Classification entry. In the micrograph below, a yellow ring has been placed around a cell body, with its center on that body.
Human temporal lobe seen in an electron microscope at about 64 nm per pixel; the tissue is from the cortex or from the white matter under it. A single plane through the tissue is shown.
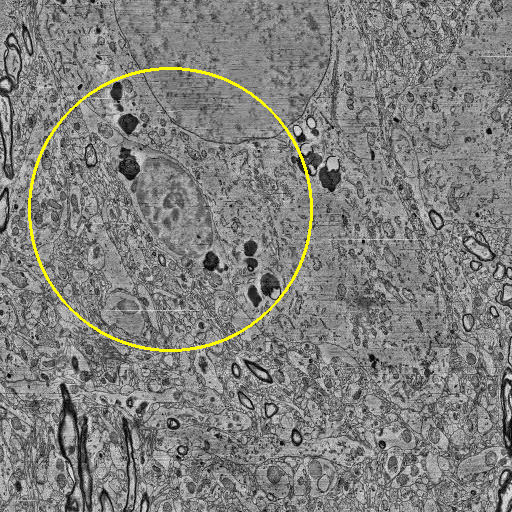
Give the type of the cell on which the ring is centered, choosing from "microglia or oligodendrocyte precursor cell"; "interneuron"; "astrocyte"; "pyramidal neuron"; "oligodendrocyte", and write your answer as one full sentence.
The cell body at the center of the yellow ring belongs to an oligodendrocyte.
